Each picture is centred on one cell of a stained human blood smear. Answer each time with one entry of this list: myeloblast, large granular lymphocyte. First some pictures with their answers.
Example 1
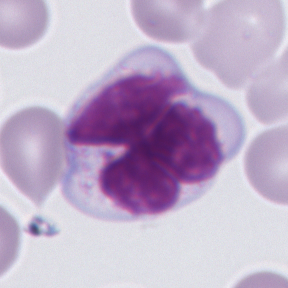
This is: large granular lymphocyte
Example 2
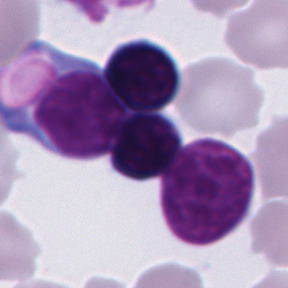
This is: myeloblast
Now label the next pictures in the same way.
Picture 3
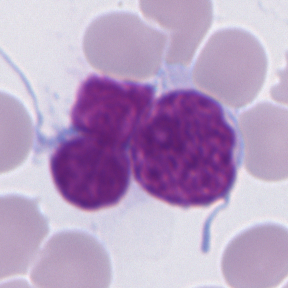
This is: myeloblast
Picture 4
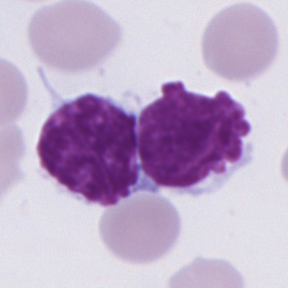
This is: myeloblast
